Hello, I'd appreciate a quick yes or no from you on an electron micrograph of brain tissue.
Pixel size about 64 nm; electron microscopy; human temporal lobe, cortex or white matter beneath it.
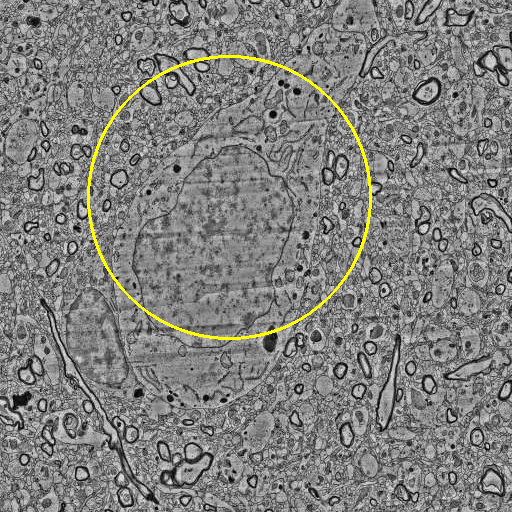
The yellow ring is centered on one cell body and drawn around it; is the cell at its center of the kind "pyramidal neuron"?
yes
